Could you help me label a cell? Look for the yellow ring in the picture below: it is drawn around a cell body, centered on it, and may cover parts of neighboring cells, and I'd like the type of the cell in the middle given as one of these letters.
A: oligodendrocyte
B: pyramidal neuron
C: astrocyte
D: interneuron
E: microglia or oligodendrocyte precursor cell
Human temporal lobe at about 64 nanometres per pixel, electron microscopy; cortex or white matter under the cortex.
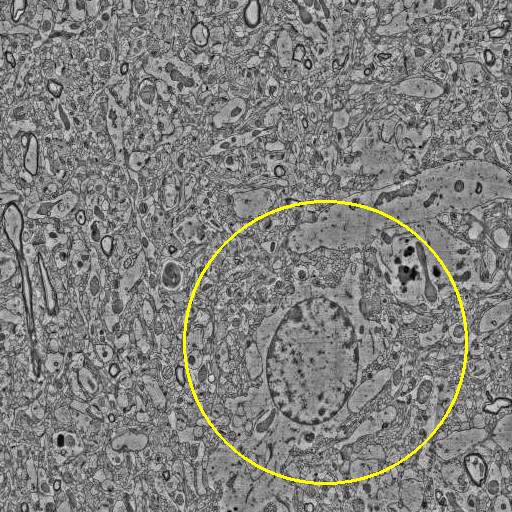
C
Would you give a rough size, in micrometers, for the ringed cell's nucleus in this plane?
In this plane the nucleus measures roughly 8 by 6 micrometres.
